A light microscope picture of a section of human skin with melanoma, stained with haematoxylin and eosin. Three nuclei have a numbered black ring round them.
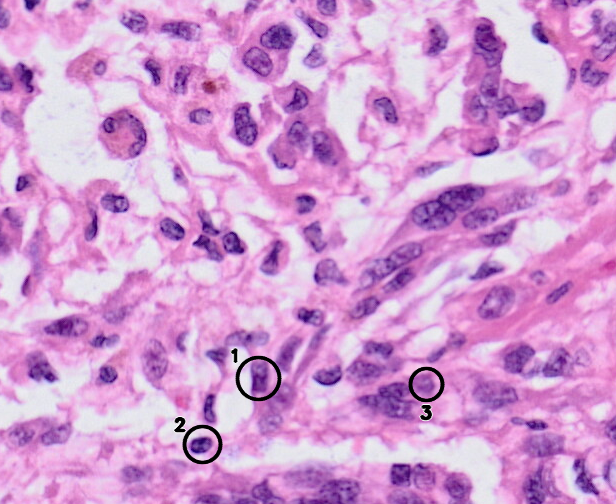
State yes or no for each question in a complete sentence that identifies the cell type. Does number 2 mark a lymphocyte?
Yes, to put it simply, cell number 2 is a lymphocyte.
